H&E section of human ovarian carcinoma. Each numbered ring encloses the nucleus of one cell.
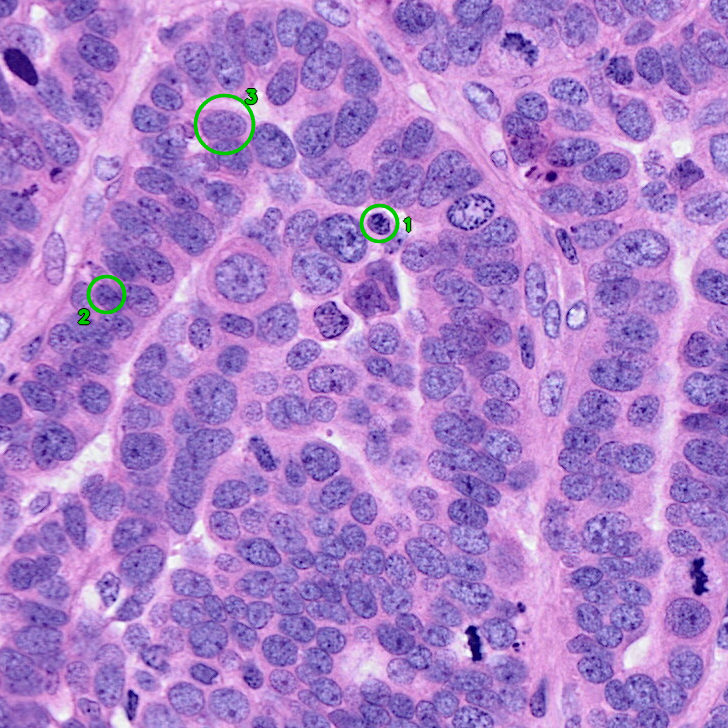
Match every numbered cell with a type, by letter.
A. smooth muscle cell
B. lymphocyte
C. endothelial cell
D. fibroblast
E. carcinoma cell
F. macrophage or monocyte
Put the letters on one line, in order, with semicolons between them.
B; E; E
